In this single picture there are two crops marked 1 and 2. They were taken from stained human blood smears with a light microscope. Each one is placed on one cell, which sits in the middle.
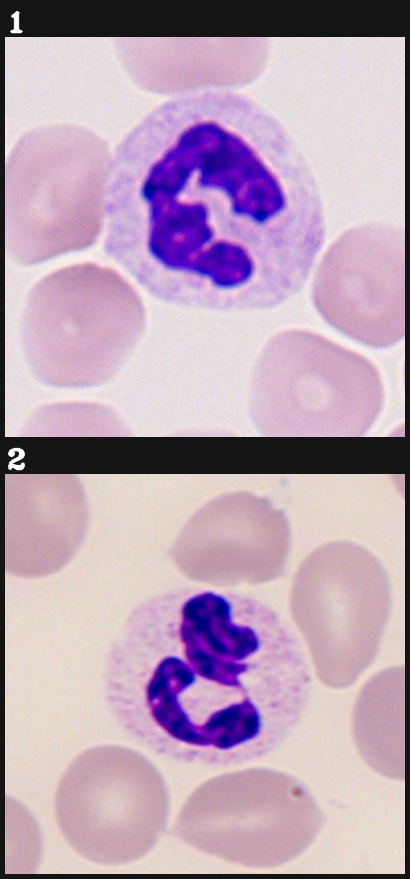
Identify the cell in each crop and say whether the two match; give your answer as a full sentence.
Yes, it is neutrophils that occupy the middle of both crops.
